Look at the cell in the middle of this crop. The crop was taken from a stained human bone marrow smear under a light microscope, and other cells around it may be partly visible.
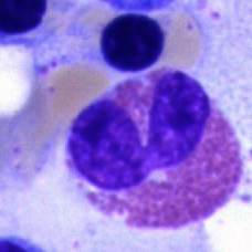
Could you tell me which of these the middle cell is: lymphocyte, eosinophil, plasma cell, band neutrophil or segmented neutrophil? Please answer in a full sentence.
On this slide crop, the central cell is an eosinophil.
